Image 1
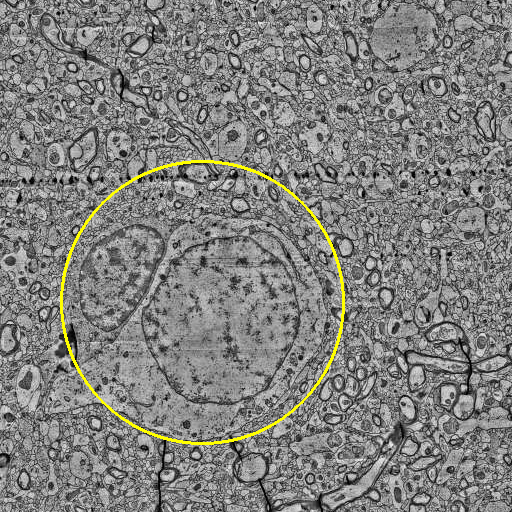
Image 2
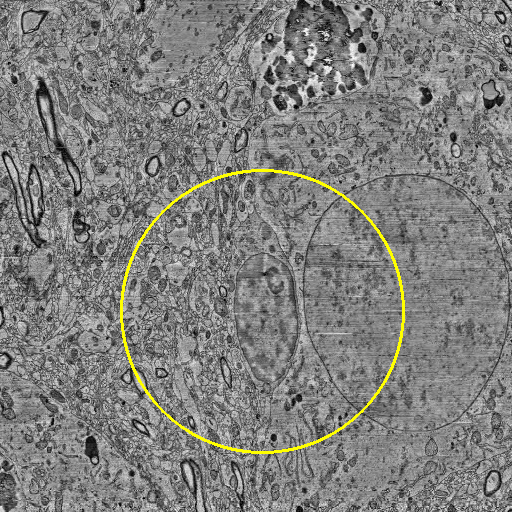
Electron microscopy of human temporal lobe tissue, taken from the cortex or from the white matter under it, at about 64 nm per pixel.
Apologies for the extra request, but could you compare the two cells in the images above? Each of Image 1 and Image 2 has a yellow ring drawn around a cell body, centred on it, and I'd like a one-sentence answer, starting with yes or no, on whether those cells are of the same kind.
No, the two cells are of two kinds.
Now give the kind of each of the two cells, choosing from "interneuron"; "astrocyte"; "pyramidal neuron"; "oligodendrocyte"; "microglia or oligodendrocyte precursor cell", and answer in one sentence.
The cell in the first picture is a pyramidal neuron, and the cell in the second is an oligodendrocyte.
